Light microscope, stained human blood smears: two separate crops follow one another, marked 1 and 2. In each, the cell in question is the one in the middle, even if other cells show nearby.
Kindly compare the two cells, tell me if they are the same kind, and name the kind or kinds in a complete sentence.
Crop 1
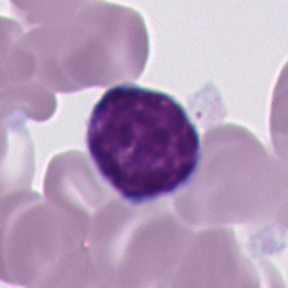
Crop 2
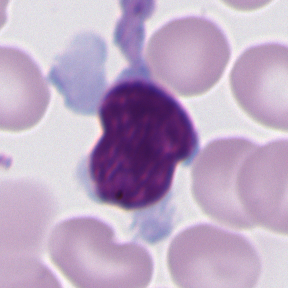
Yes, the middle cells in both crops are indeed typical lymphocytes.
